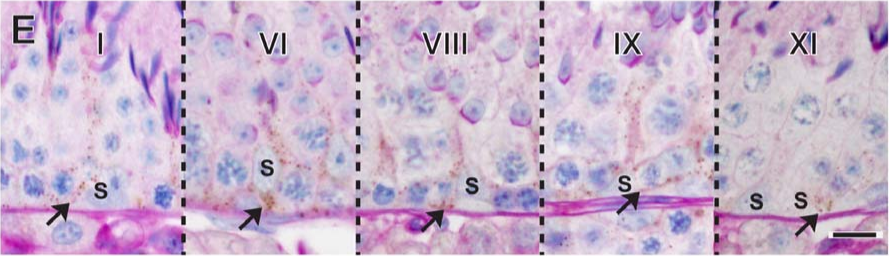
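Segments of seminiferous epithelium at several stages rest on a magenta-stained basement membrane at the bottom of each strip. Sertoli cells sit at the base against this membrane, with fine brown granules in the cytoplasm near the base that trail upward between the germ cells. Above them lie round germ cell nuclei, some with coarse, condensed chromatin, and in several segments slender dark spermatid heads point toward the top.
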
